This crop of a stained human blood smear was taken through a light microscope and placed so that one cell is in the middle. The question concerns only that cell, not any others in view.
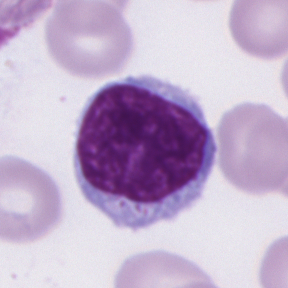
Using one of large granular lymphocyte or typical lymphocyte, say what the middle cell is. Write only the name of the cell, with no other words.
typical lymphocyte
